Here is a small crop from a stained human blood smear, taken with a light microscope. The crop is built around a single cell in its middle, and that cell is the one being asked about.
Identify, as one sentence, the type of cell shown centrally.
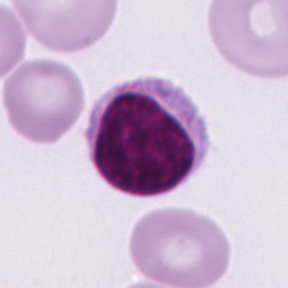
The crop's centre is taken up by a large granular lymphocyte.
